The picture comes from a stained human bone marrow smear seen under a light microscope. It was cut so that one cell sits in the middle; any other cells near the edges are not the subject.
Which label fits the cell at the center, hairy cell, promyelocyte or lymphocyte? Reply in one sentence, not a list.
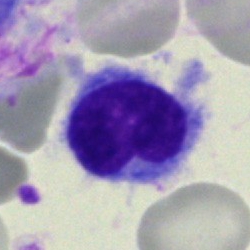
The cell centred in this crop is categorized as a hairy cell.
